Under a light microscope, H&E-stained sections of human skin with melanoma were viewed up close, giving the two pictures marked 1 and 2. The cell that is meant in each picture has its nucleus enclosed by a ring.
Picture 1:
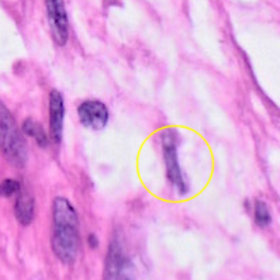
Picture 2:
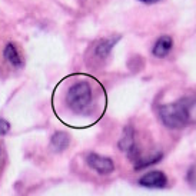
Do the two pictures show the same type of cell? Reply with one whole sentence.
No, the types are not the same, since picture 1 shows a “fibroblast or myofibroblast” and picture 2 a “macrophage or monocyte”.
